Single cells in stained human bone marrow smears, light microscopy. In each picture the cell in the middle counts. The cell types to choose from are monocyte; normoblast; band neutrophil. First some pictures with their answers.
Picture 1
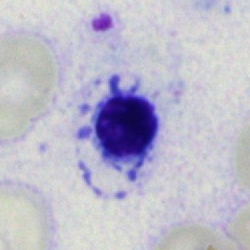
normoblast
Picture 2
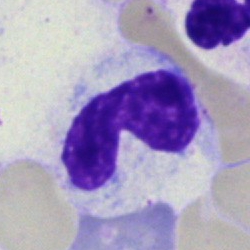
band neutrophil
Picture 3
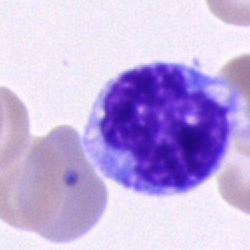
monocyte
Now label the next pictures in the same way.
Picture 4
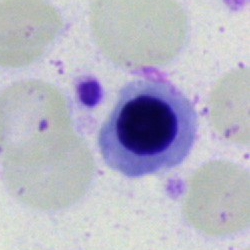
normoblast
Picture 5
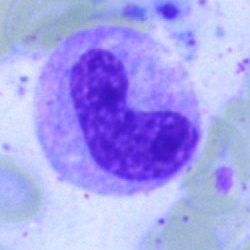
band neutrophil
